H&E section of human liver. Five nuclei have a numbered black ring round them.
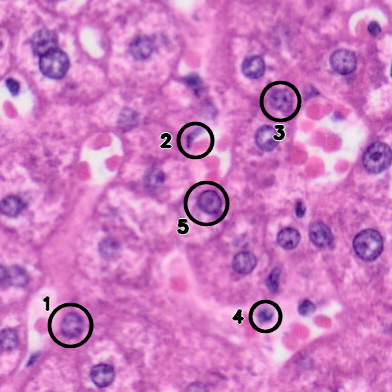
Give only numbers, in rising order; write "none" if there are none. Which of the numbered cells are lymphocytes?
4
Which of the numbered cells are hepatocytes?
1, 3, 5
